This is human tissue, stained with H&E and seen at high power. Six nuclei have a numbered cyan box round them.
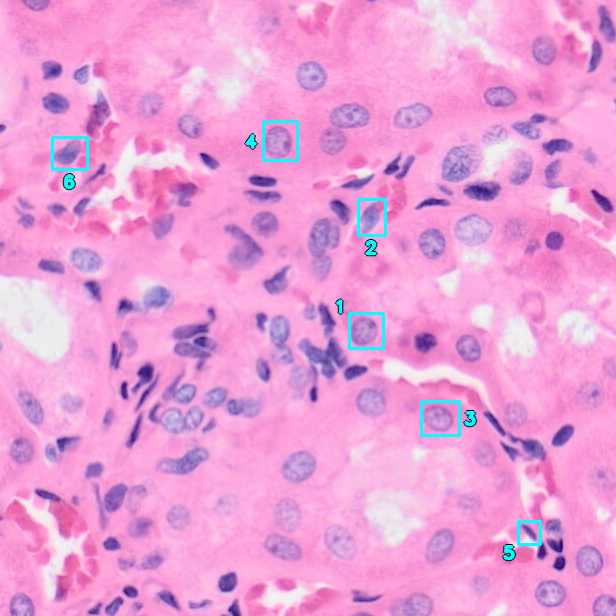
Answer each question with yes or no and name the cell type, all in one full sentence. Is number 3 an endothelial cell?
No, calling cell 3 an endothelial cell is a mistake; it is a proximal tubule cell.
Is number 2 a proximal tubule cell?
No, cell 2 does not count as a proximal tubule cell; it is an endothelial cell.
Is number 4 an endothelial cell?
No, cell 4 is a proximal tubule cell and should not be called an endothelial cell.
